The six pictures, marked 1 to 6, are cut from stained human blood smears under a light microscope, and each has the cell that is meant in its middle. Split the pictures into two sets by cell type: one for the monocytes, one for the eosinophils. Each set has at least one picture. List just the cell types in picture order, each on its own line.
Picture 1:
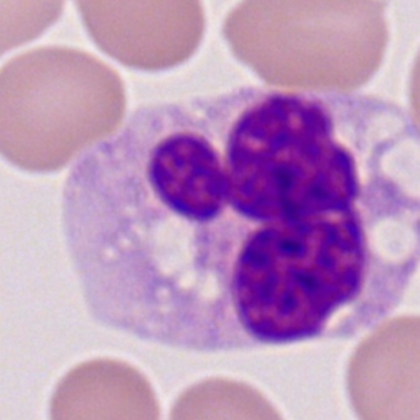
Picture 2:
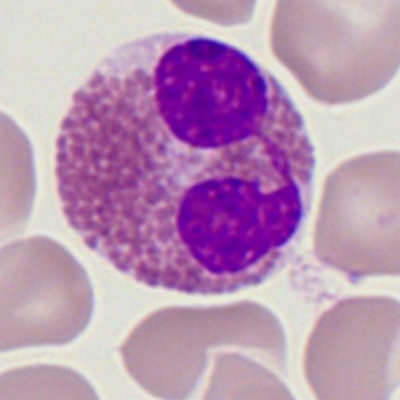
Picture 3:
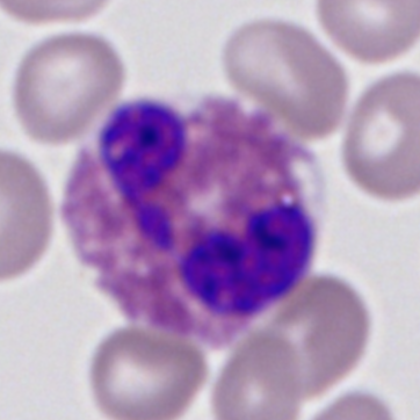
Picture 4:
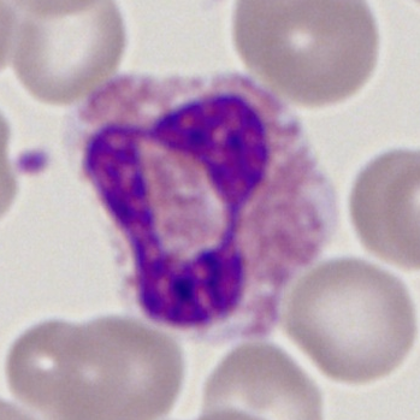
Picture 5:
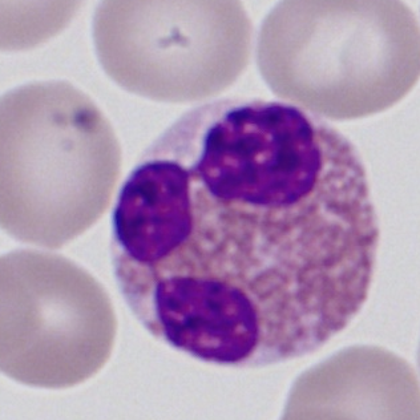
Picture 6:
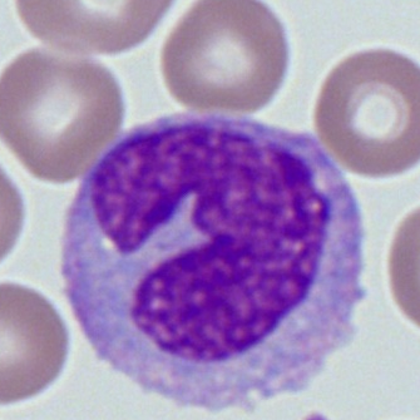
monocyte
eosinophil
eosinophil
eosinophil
eosinophil
monocyte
